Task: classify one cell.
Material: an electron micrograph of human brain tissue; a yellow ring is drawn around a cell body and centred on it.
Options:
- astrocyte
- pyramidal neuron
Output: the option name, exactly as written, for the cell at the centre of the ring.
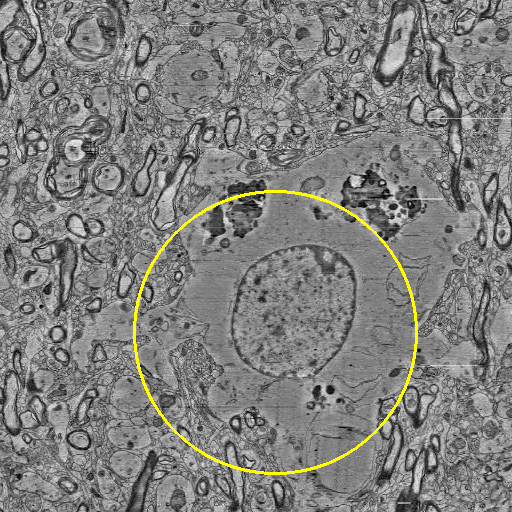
astrocyte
